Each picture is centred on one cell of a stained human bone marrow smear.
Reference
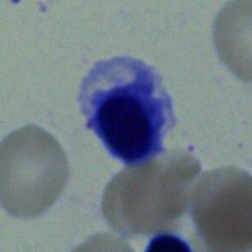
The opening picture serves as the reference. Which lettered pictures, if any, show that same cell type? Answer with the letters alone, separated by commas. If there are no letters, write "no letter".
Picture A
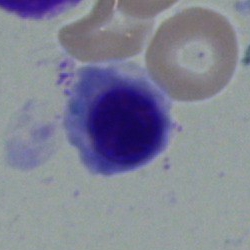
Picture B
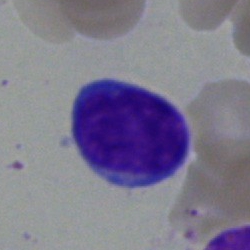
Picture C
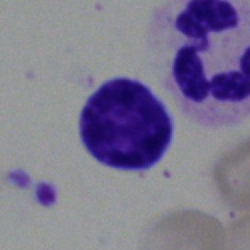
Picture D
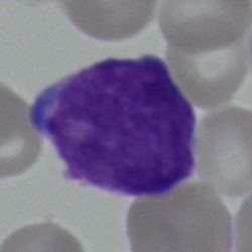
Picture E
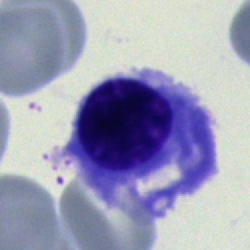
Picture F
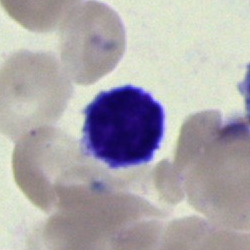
A, E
